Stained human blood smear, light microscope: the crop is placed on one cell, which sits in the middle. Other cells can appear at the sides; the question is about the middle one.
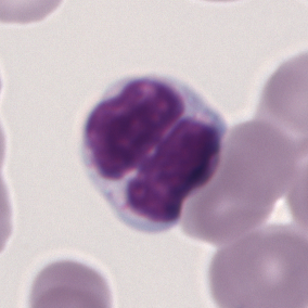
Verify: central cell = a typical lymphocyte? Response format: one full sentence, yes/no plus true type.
No, the middle cell is not a typical lymphocyte, it being a large granular lymphocyte.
